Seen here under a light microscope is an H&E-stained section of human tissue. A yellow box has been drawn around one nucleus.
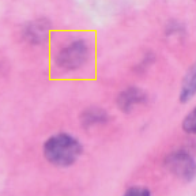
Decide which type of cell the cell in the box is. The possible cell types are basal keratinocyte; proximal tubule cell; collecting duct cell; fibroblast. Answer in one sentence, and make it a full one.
What the cell in the box represents is a proximal tubule cell.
